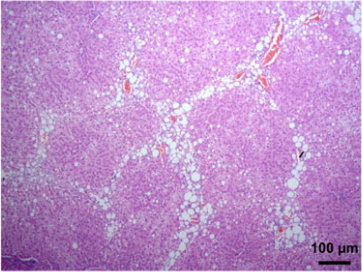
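The bands run across the field and connect, outlining rounded islands of liver cells. Along these bands the hepatocytes are crowded with clear, round vacuoles of many sizes, giving a bubbly look. Vessels within the bands hold bright red blood cells. Away from the bands the hepatocyte plates look more compact and evenly pink.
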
